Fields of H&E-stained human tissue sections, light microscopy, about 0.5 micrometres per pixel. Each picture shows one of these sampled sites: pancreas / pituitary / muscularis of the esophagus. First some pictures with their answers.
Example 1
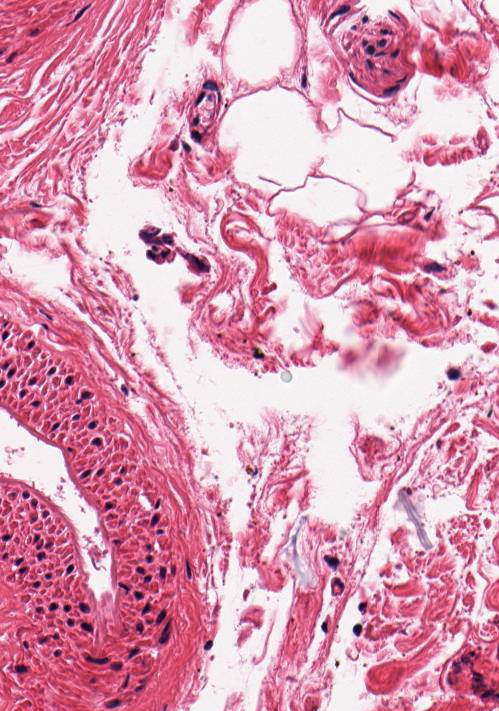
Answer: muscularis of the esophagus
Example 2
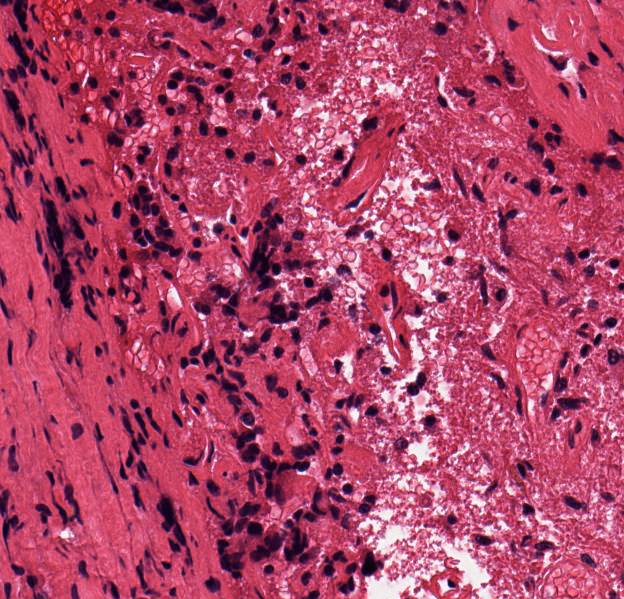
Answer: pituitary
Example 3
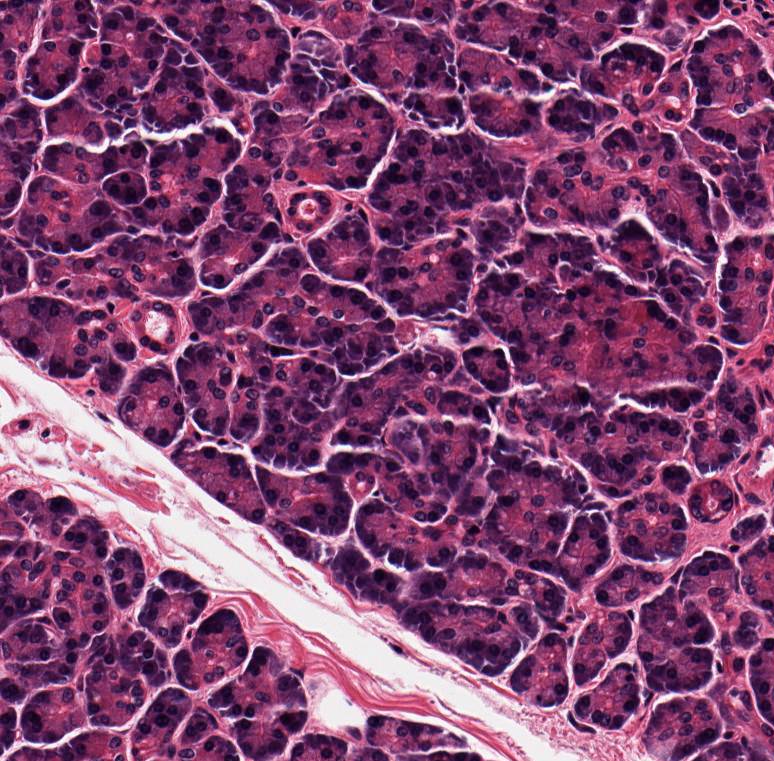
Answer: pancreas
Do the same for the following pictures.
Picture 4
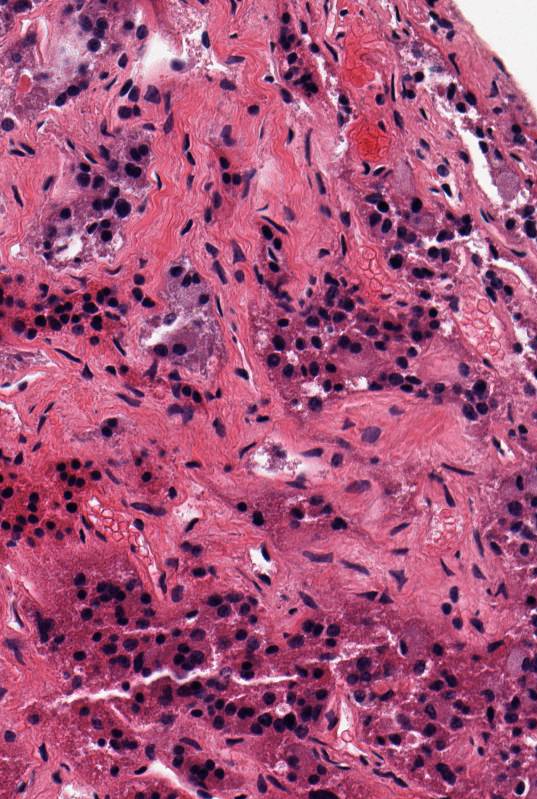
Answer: pituitary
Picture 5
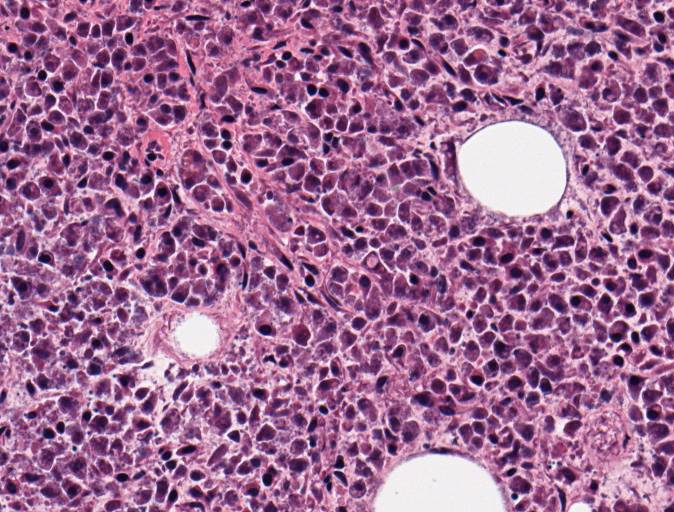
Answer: pancreas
